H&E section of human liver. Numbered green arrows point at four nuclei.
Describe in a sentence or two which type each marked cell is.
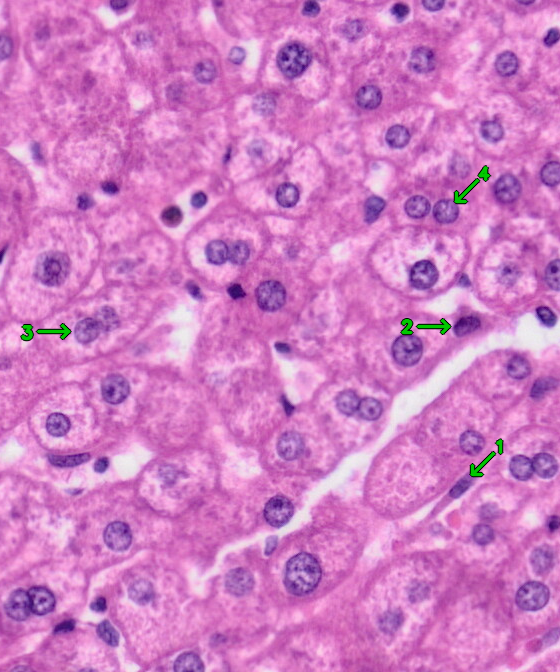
Cells 1 and 2 are Kupffer cells. Cells 3 and 4 are hepatocytes.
